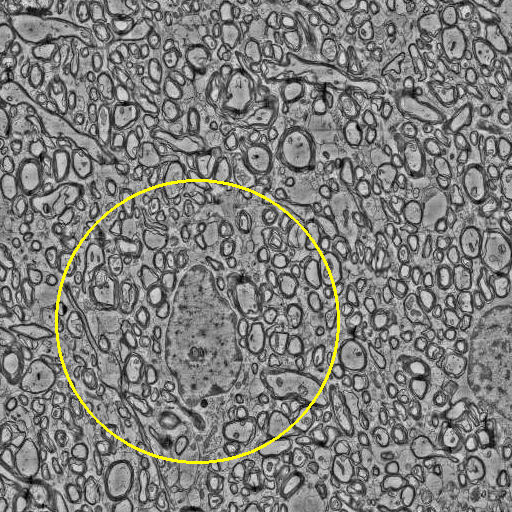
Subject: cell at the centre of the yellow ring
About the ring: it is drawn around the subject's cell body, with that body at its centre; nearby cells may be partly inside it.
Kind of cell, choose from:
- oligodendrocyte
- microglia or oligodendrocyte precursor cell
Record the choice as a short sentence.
The subject cell is a microglial cell or oligodendrocyte precursor cell.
